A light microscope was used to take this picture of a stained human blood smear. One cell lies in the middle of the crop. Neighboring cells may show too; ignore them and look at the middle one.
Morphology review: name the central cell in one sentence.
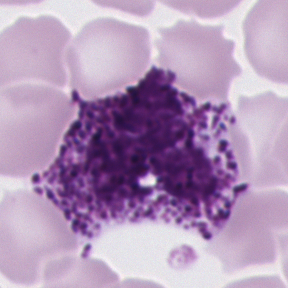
The centrally placed cell is classified as a basophil.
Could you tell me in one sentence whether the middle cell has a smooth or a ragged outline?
No smooth contour is present; the border is ragged or extended into projections.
